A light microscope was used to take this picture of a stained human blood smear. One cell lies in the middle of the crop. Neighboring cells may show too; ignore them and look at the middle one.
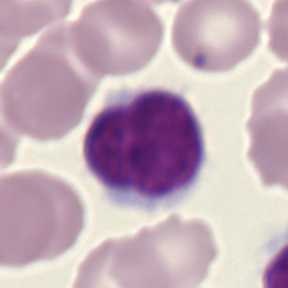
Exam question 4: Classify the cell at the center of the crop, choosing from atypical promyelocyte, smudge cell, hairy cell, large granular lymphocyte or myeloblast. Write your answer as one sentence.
The crop shows a hairy cell in its centre.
